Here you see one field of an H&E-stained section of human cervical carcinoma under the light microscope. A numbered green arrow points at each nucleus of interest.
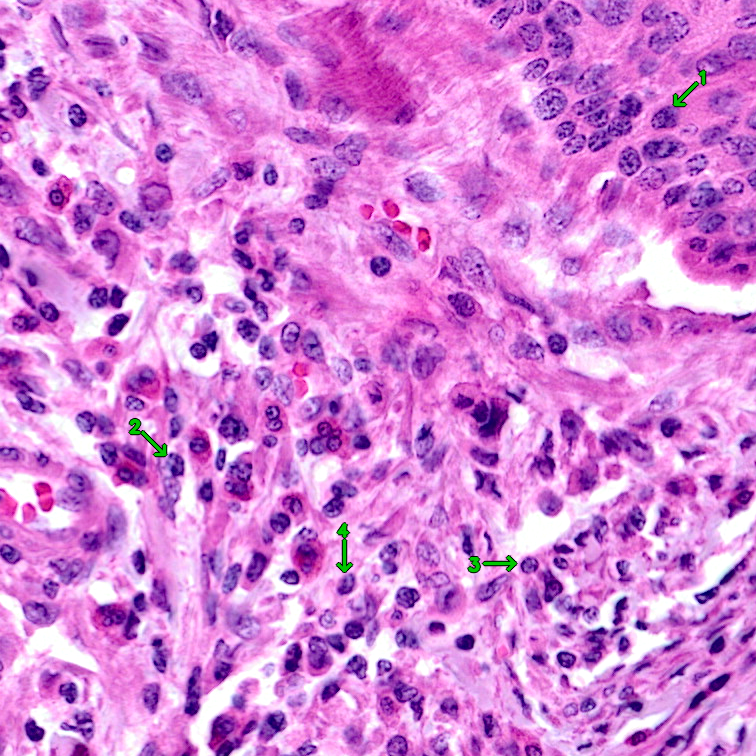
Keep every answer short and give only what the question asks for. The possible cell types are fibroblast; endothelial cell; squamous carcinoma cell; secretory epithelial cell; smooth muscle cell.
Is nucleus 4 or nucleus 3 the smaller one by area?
3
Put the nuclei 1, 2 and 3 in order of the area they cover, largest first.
1, 2, 3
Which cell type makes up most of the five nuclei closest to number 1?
squamous carcinoma cell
